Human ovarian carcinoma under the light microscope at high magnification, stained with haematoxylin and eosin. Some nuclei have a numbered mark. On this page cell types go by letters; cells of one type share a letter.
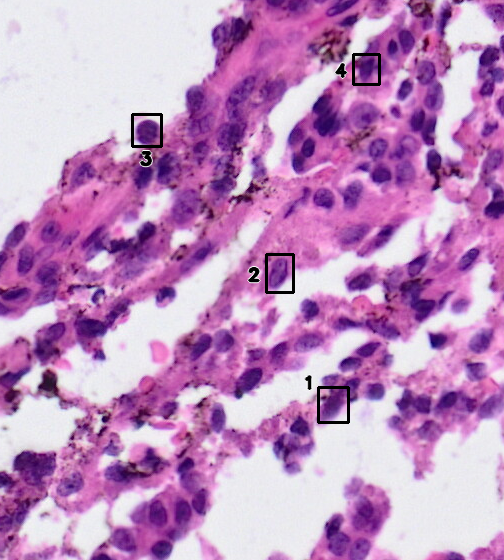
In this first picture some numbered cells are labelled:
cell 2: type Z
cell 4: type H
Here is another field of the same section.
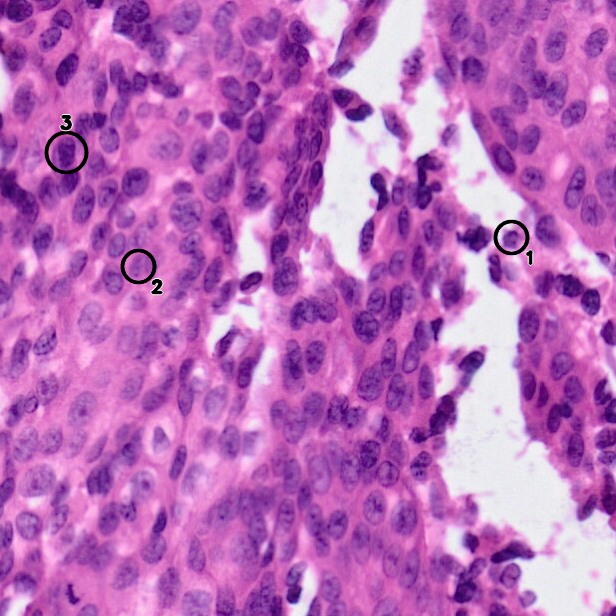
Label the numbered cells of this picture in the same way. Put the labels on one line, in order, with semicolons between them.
type Z; type H; type H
